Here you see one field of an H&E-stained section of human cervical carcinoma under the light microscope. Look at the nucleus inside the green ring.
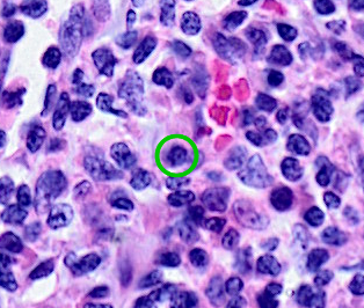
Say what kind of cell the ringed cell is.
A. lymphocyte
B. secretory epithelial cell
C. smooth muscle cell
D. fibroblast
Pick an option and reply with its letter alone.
A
